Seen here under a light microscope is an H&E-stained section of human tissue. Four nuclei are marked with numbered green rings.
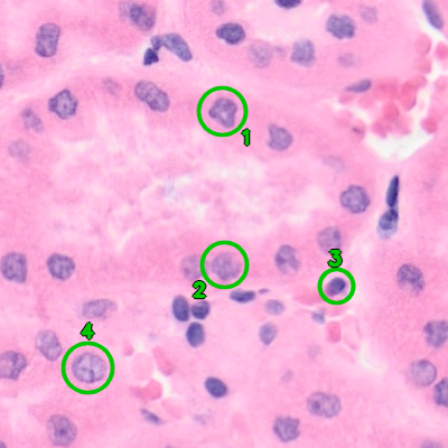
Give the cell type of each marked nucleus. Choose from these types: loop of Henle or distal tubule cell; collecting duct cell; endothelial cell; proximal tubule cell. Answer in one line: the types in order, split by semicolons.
proximal tubule cell; proximal tubule cell; endothelial cell; proximal tubule cell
